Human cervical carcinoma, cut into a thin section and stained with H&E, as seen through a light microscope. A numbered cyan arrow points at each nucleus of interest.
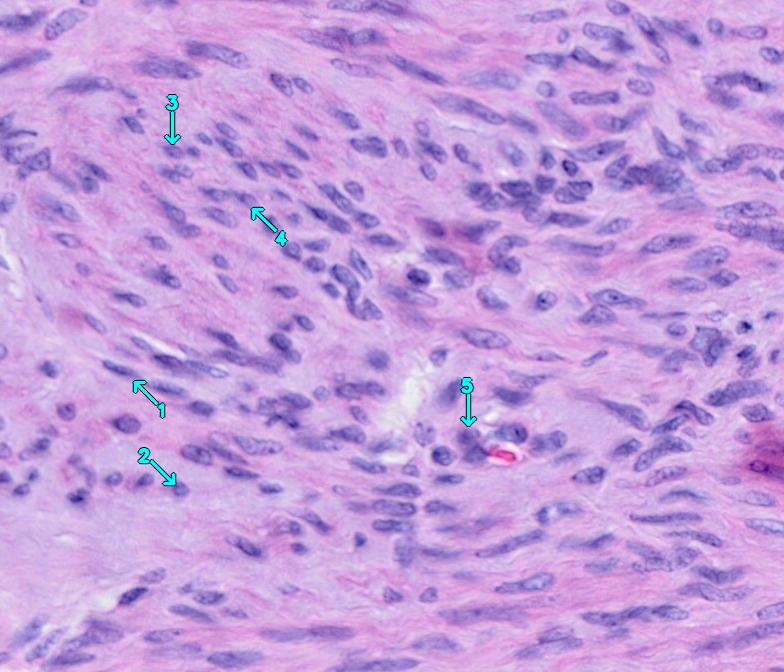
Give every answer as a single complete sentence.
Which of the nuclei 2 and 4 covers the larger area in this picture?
The larger nucleus is 4, at roughly 1.5 times the area of 2.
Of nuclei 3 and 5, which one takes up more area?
It is nucleus 5, which covers about 2.5 times the area of nucleus 3.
